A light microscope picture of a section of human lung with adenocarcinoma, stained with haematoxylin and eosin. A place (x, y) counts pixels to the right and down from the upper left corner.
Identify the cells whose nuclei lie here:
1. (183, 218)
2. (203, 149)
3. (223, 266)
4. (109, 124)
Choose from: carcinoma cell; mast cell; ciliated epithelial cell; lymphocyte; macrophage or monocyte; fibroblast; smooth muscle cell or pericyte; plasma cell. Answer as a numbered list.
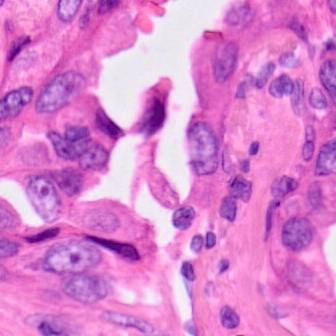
1. lymphocyte
2. carcinoma cell
3. lymphocyte
4. carcinoma cell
